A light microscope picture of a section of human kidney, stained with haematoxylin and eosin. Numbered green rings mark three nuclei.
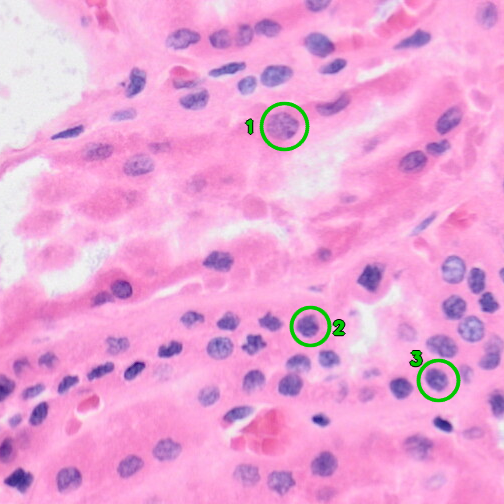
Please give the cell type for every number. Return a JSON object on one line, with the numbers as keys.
{"1": "proximal tubule cell", "2": "loop of Henle or distal tubule cell", "3": "loop of Henle or distal tubule cell"}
